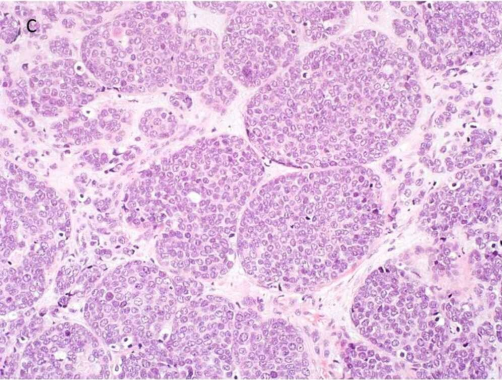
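Medium-power view of tumor cells arranged in rounded nests of varying size. The cells are closely packed with round to oval nuclei and scant pale cytoplasm. Nests are separated by thin bands of loose pale pink stroma containing spindle-shaped stromal cells. The nests have smooth, well-defined borders.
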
